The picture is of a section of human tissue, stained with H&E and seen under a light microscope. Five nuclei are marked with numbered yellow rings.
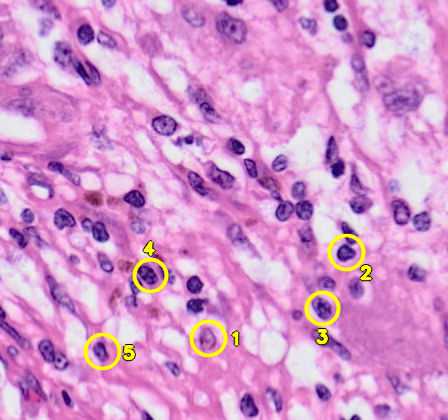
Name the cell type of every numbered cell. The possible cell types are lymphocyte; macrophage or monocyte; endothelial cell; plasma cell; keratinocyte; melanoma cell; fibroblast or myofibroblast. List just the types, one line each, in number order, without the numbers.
macrophage or monocyte
lymphocyte
lymphocyte
plasma cell
lymphocyte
